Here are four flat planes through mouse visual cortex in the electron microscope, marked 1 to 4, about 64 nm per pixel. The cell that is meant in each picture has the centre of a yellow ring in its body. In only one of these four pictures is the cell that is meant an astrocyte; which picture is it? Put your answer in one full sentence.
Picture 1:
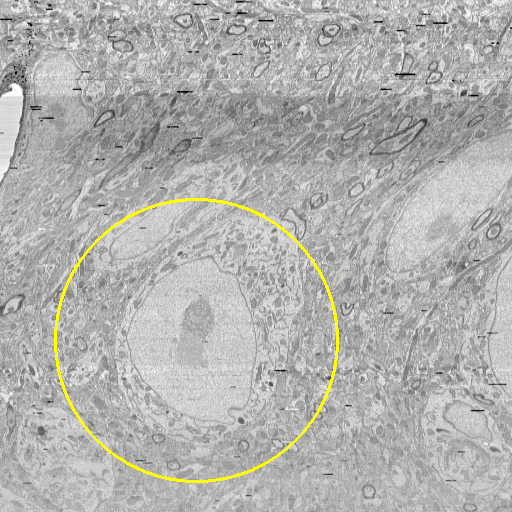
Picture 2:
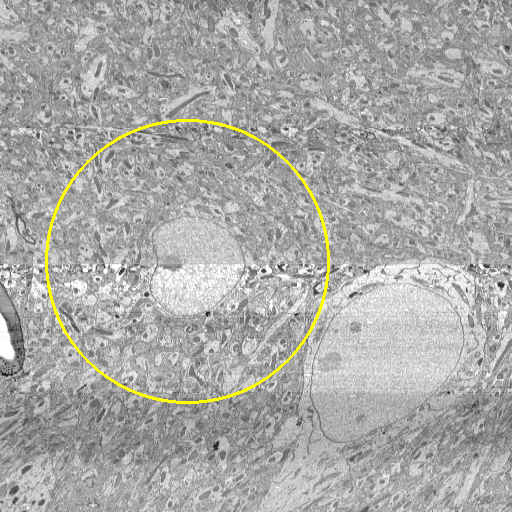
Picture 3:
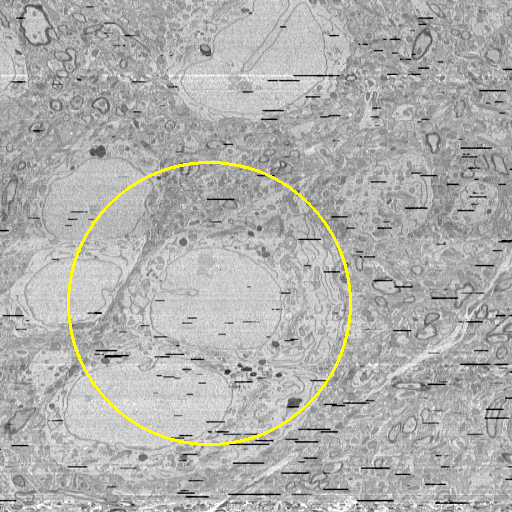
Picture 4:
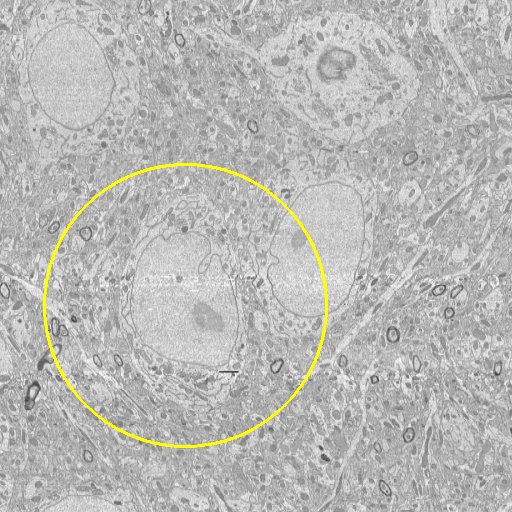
Picture 2 is the one that shows the astrocyte.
